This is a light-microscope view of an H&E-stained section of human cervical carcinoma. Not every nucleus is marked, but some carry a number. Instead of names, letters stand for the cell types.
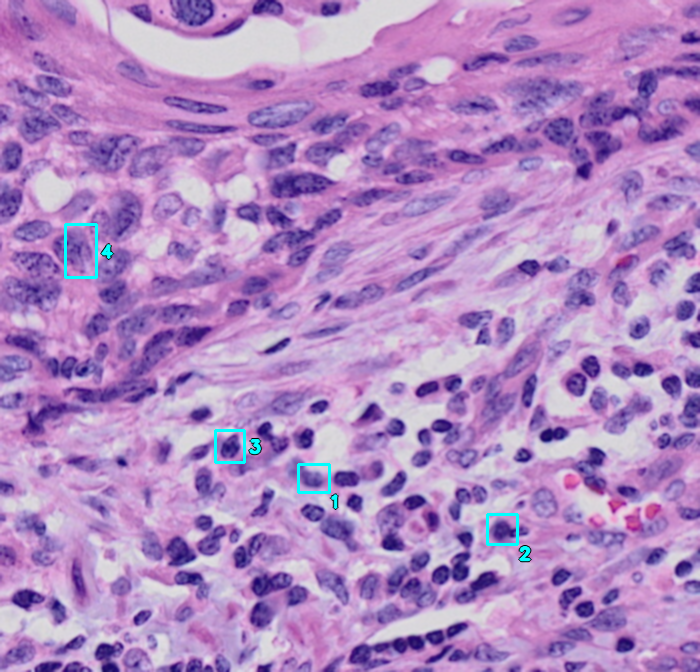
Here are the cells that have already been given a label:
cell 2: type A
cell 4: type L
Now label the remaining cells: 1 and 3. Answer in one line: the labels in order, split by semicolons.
type A; type A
